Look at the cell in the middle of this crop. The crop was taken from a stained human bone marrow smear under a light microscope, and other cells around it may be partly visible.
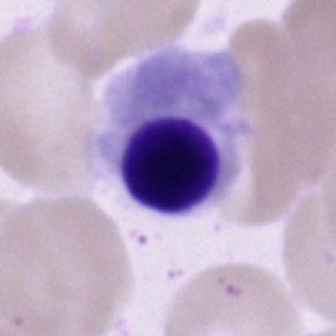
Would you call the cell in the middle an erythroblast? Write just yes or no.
yes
